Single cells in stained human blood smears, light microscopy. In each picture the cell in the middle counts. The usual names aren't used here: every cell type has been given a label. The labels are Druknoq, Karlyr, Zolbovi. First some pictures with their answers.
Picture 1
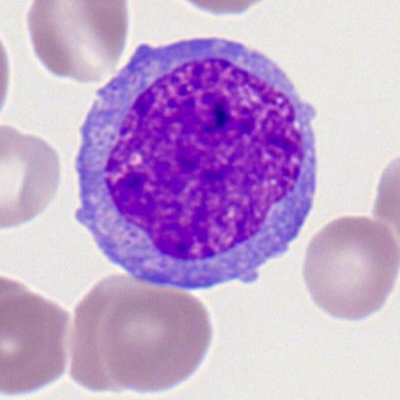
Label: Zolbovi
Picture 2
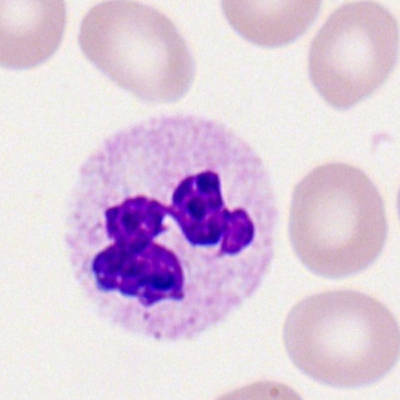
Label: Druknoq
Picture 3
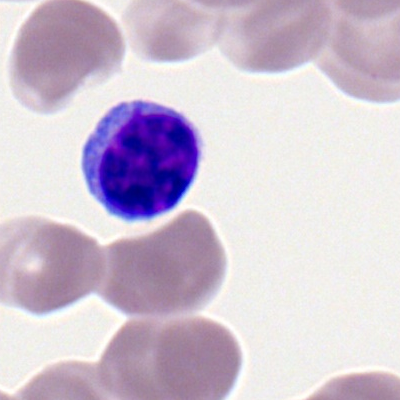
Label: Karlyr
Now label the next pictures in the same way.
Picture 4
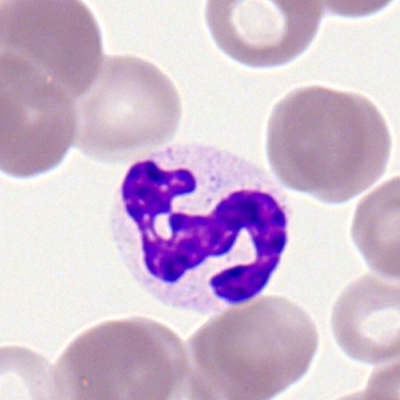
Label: Druknoq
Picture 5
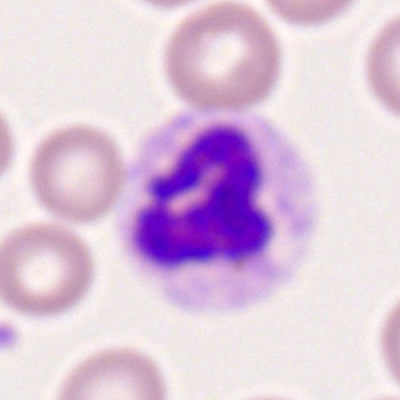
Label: Druknoq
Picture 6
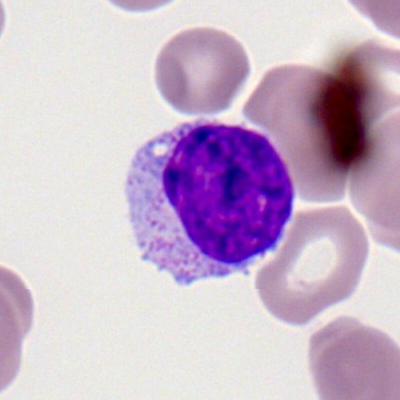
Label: Karlyr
